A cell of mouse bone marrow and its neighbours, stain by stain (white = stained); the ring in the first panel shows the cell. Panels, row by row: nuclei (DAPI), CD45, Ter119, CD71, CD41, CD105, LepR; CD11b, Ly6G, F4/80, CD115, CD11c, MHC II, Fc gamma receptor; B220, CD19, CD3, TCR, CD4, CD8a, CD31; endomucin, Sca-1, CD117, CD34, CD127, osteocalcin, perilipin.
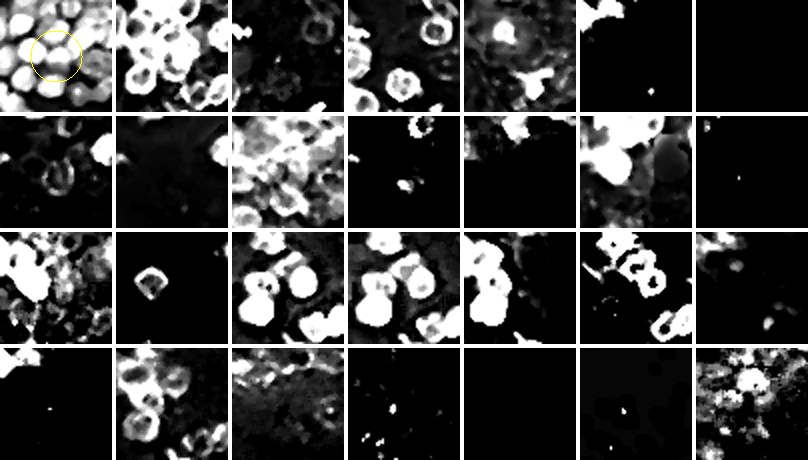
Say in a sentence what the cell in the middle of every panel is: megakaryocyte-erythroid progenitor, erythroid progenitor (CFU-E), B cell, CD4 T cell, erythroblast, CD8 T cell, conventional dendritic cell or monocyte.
This is a CD8 T cell.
